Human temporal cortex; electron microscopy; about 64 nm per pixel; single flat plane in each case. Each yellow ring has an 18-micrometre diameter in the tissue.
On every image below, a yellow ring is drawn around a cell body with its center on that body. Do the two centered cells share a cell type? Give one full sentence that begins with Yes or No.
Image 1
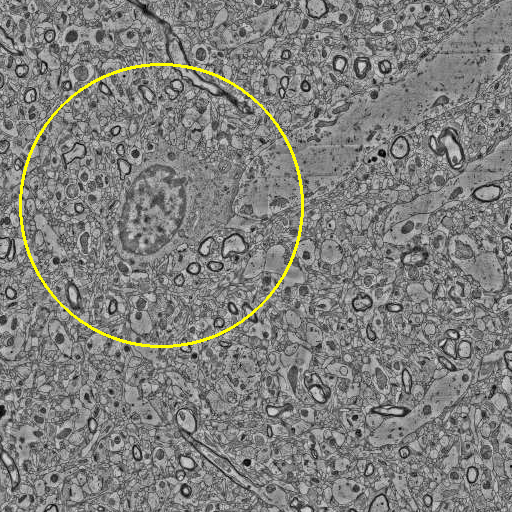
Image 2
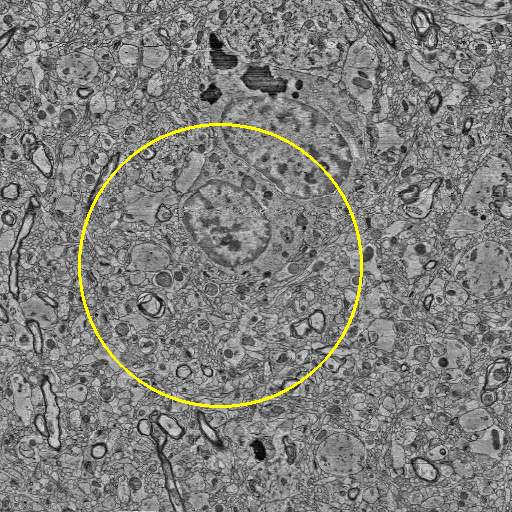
Yes, the centered cells in the two images are of a single cell type.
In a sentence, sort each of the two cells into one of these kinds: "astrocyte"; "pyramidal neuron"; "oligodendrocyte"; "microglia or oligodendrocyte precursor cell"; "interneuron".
Each of the ringed cells, first and second, is an oligodendrocyte.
